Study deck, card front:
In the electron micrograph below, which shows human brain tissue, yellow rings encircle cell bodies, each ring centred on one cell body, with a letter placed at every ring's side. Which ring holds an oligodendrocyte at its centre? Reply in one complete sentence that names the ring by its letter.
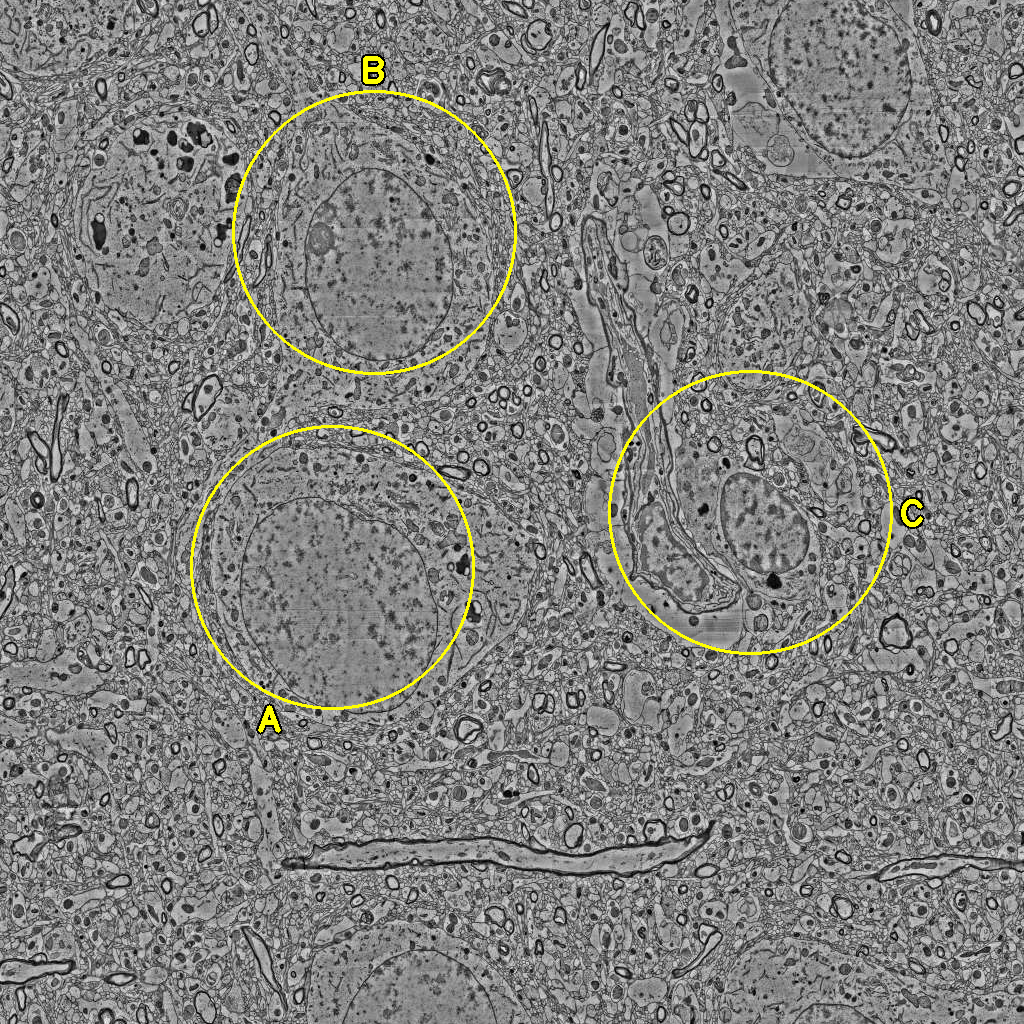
The cell asked for sits at the centre of ring C in the picture.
